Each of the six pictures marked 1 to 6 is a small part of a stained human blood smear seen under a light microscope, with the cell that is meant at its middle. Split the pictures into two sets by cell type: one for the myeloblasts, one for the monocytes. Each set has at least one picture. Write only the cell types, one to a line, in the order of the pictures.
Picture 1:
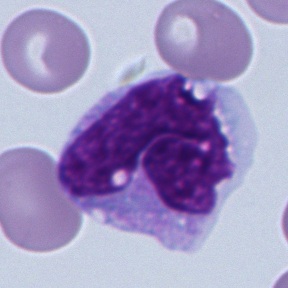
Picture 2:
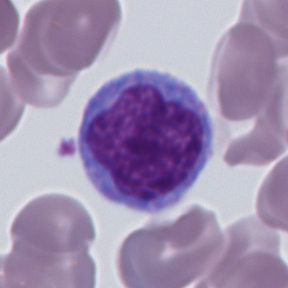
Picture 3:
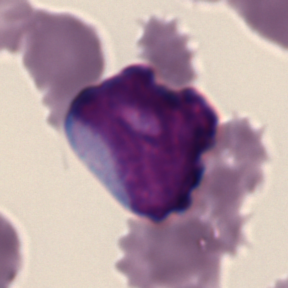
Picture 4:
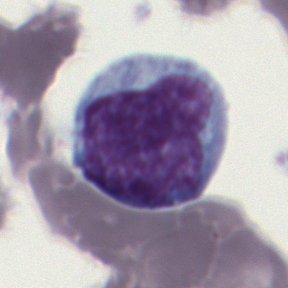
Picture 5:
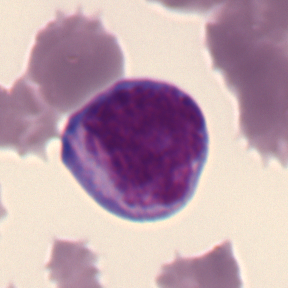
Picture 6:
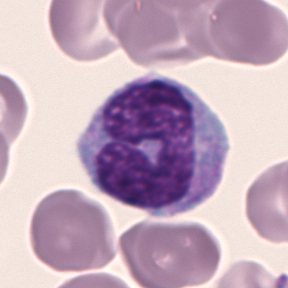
monocyte
monocyte
myeloblast
monocyte
myeloblast
monocyte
